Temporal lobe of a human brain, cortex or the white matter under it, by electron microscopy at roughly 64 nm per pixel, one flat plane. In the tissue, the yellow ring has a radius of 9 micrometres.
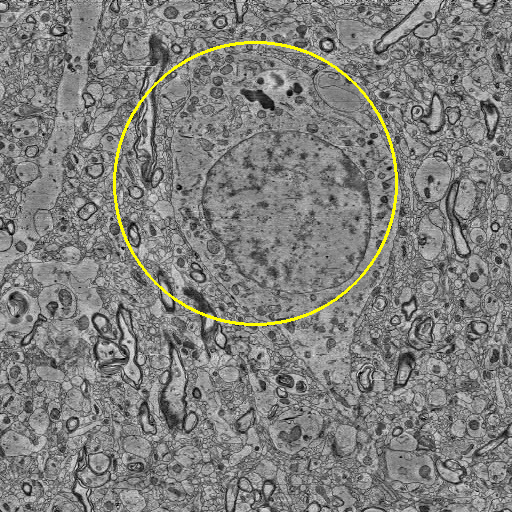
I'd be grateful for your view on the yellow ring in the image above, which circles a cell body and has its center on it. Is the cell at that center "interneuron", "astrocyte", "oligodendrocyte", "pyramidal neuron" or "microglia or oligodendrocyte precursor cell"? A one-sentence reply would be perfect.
The cell at the center of the yellow ring is an interneuron.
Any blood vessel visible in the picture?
No, no blood vessel can be seen.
